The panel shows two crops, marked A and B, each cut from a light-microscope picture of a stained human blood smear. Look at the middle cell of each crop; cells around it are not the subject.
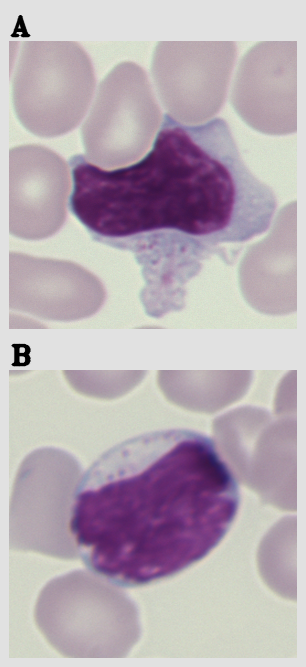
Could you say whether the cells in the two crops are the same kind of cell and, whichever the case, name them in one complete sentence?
Yes, large granular lymphocytes are the central cells in the two crops.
